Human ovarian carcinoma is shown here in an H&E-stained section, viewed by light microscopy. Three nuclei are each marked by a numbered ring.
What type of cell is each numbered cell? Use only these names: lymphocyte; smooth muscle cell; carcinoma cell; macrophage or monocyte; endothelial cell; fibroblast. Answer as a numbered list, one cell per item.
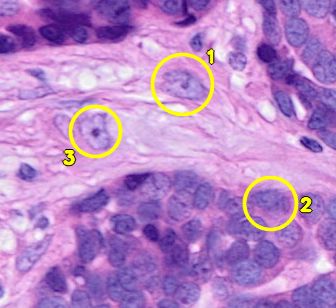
1. fibroblast
2. carcinoma cell
3. fibroblast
